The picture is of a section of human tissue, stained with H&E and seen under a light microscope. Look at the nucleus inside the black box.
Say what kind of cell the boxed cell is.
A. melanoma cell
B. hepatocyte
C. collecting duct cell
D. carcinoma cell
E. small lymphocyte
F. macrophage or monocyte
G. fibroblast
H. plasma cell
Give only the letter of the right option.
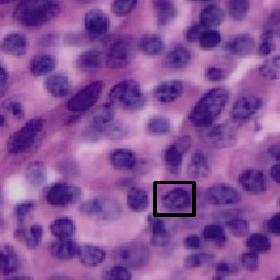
H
